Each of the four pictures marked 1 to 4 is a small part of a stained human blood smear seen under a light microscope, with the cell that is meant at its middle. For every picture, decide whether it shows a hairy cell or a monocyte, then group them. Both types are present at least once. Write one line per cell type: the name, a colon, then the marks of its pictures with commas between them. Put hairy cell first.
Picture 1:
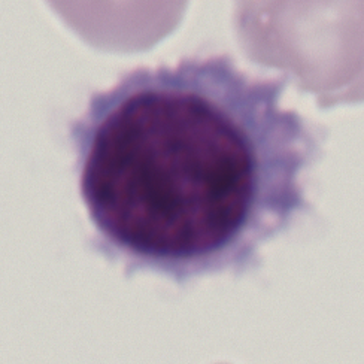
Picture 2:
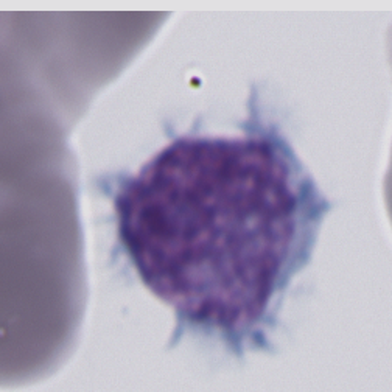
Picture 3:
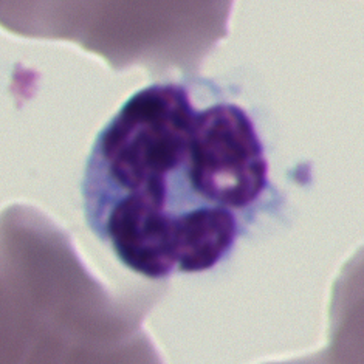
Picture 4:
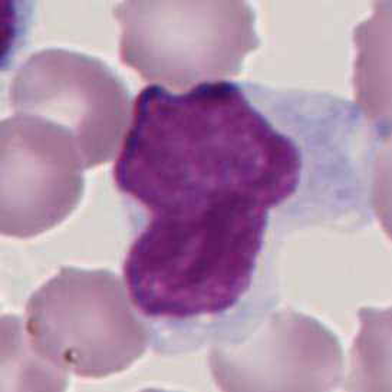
hairy cell: 1, 2, 4
monocyte: 3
